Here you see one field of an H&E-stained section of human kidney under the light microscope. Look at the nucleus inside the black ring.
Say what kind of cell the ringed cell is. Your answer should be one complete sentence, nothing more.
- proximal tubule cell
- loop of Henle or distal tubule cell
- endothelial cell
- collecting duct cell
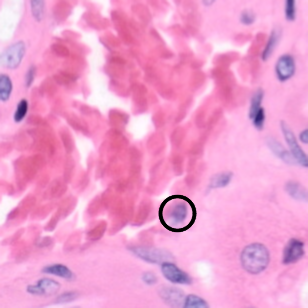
Among the cells in this section, the ringed cell is an endothelial cell.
